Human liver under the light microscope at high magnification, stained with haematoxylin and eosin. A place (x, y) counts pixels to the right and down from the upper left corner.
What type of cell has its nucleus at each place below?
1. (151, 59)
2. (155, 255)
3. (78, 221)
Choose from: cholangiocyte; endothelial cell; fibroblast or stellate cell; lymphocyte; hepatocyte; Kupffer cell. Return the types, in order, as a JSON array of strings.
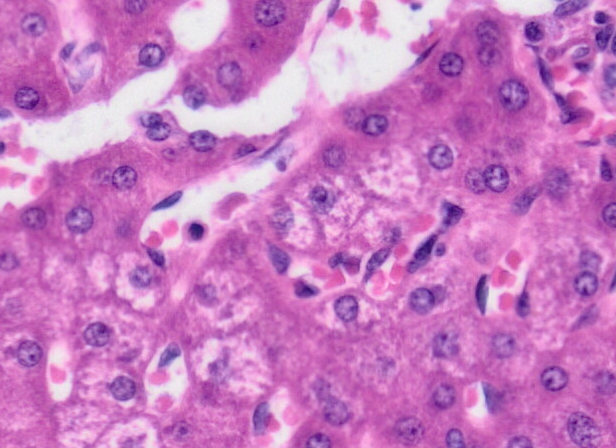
["hepatocyte", "fibroblast or stellate cell", "hepatocyte"]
